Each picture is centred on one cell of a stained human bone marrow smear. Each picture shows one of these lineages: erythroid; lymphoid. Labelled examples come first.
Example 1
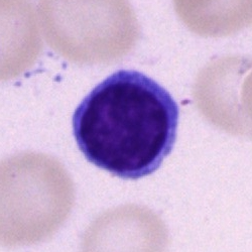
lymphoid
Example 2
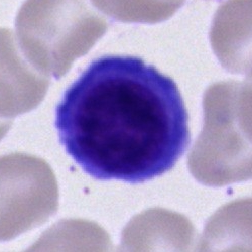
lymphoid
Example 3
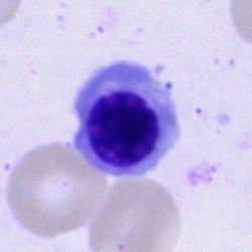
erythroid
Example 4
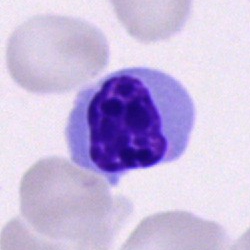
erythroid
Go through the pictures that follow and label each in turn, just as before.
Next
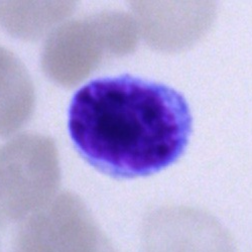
lymphoid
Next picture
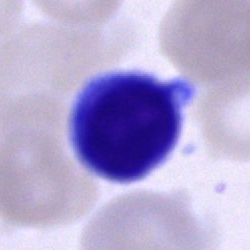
lymphoid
